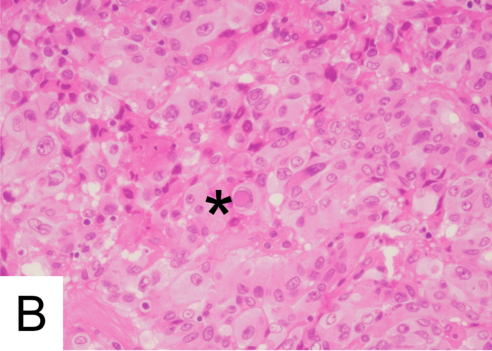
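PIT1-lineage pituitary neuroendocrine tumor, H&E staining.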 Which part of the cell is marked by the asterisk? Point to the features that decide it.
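Next to the asterisk a nucleus holds a round pale pink area resembling cytoplasm.
Answer: pseudonuclear inclusion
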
